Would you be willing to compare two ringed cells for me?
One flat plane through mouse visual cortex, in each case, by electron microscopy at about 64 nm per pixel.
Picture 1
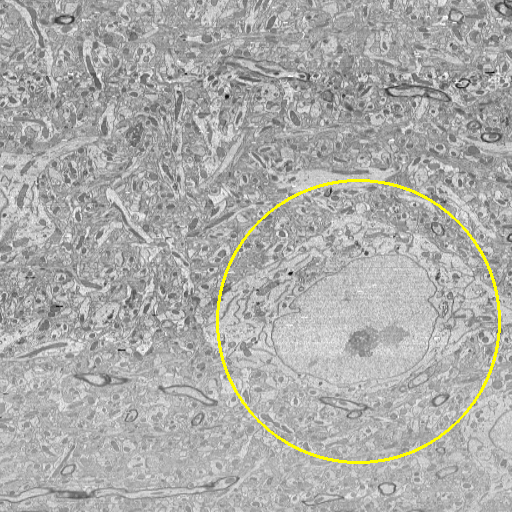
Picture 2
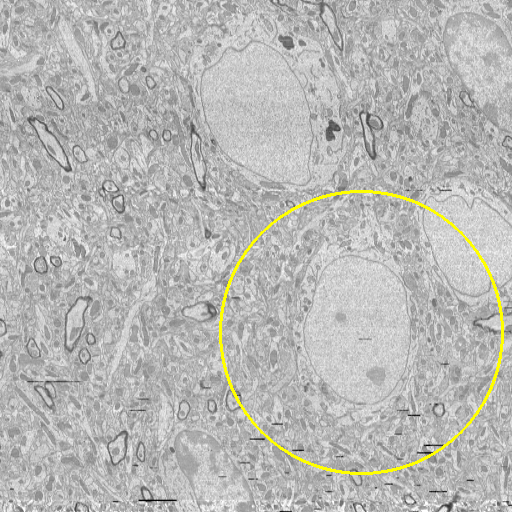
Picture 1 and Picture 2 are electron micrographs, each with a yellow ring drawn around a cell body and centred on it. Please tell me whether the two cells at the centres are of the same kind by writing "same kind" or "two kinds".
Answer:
two kinds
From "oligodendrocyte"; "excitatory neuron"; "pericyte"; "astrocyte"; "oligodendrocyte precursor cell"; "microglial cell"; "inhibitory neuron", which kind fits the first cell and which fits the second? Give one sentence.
The cell marked in the first picture is an inhibitory neuron, and the one marked in the second is an excitatory neuron.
